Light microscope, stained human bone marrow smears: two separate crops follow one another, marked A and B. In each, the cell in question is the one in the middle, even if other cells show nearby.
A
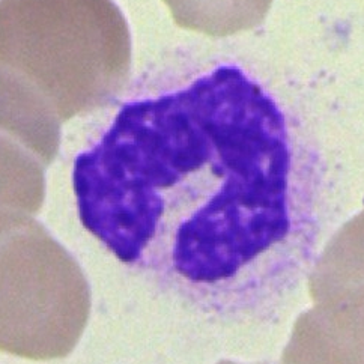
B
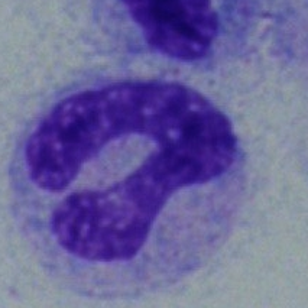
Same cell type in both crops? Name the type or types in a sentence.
Yes, these two crops both show band neutrophils.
